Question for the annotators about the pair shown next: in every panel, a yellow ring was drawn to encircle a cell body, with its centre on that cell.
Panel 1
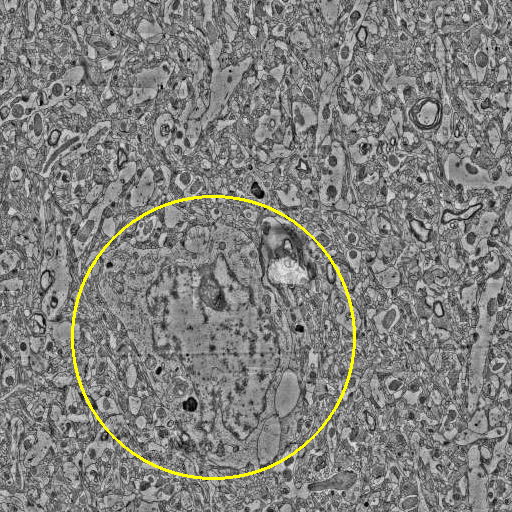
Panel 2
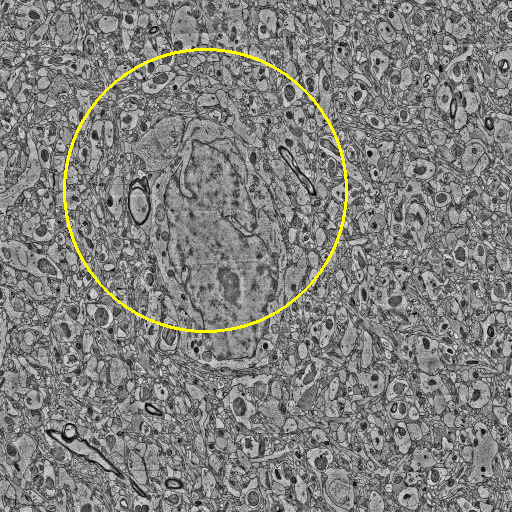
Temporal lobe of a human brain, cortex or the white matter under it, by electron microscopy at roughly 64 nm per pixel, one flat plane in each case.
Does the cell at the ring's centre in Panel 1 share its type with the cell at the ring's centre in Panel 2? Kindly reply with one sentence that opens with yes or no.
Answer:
Yes, in Panels 1 and 2 the cells at the ring centres belong to a single type.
